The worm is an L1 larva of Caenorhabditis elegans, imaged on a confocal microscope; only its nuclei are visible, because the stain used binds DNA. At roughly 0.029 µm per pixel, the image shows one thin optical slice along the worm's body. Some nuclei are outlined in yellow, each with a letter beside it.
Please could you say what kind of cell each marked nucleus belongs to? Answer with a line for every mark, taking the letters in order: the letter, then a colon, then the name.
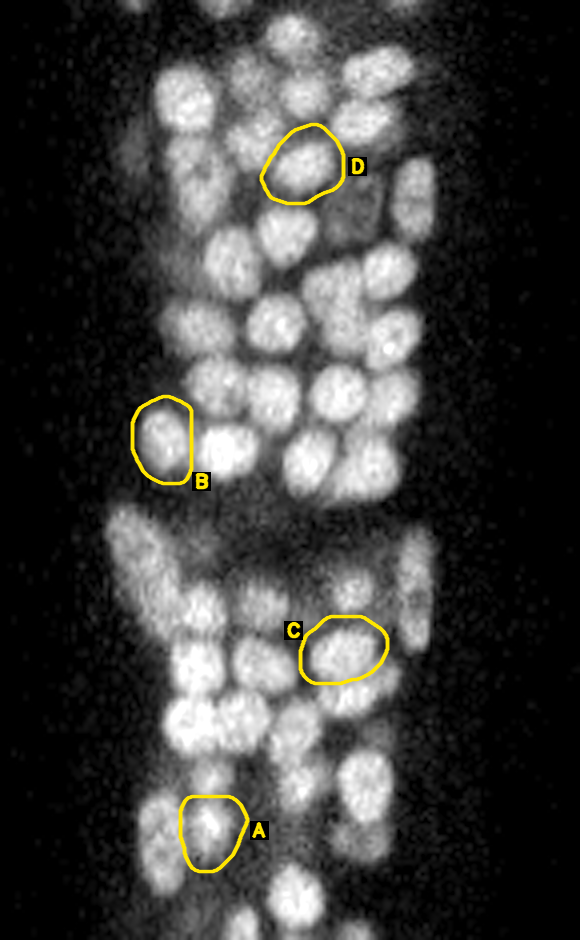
A: glial cell (sheath or socket)
B: neuron
C: neuron
D: neuron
